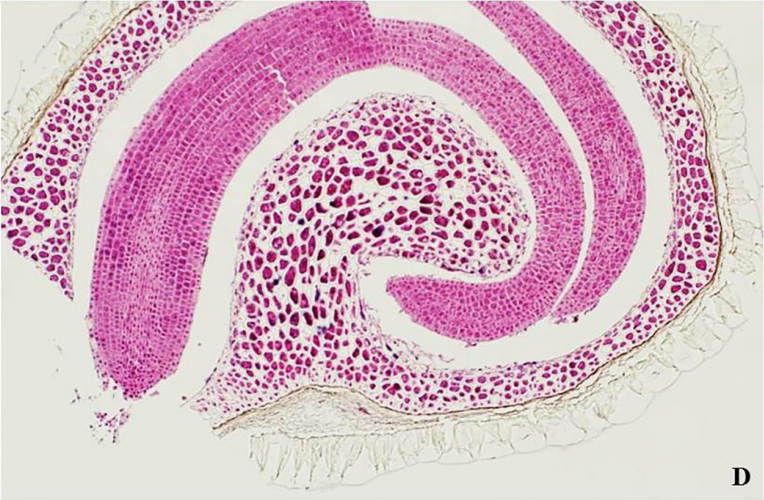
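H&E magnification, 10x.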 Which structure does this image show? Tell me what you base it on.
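A band of small, orderly pink cells bends in a curve within the seed. The curved band is enclosed by tissue of larger polygonal cells. So: curved embryo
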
